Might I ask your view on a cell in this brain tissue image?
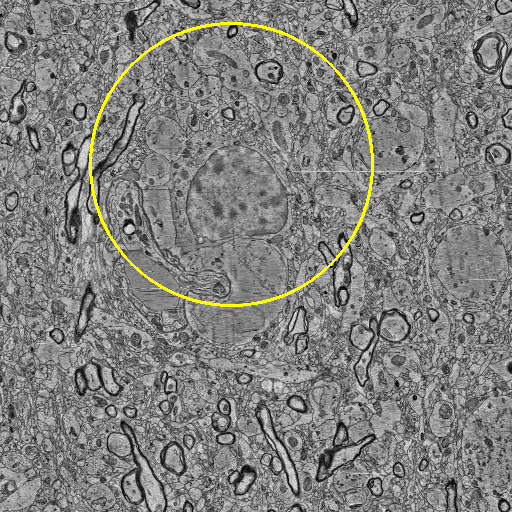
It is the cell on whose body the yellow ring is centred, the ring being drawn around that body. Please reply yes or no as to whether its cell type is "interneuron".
no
